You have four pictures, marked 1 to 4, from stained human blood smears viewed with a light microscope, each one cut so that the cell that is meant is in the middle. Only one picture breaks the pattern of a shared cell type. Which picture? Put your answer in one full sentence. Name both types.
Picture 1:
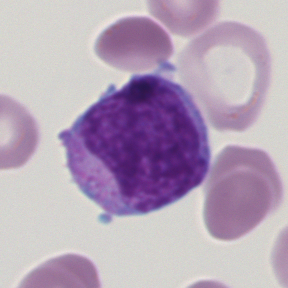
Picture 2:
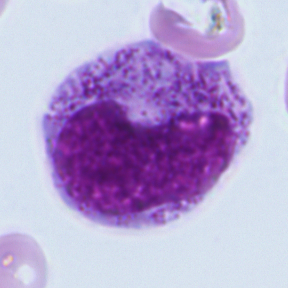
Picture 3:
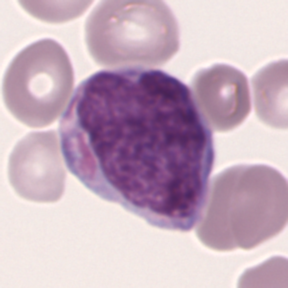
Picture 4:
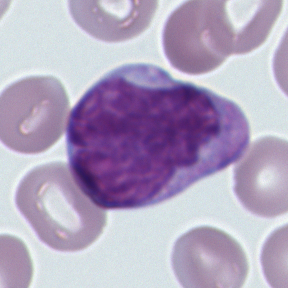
Unlike the rest, which show atypical promyelocytes, picture 2 shows a myelocyte.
